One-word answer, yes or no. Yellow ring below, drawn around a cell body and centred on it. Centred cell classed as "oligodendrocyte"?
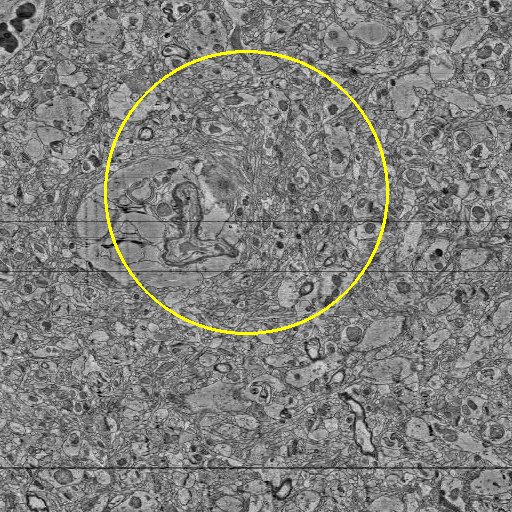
yes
